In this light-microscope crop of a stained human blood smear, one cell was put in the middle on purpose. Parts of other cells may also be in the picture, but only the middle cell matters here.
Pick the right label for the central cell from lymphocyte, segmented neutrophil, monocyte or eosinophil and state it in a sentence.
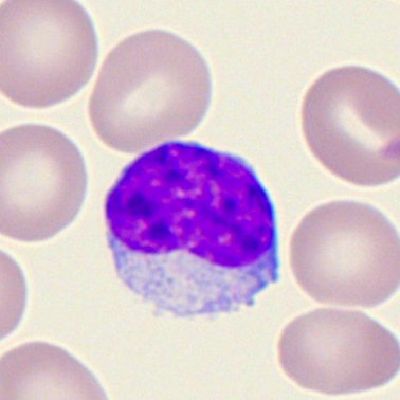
The centered cell in this crop is a lymphocyte.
